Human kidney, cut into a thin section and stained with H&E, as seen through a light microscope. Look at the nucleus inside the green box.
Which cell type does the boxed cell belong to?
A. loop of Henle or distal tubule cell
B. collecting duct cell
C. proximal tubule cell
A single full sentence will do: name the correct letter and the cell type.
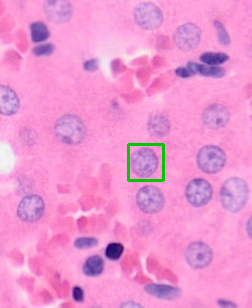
Identified correctly by option C, the boxed cell is a proximal tubule cell.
